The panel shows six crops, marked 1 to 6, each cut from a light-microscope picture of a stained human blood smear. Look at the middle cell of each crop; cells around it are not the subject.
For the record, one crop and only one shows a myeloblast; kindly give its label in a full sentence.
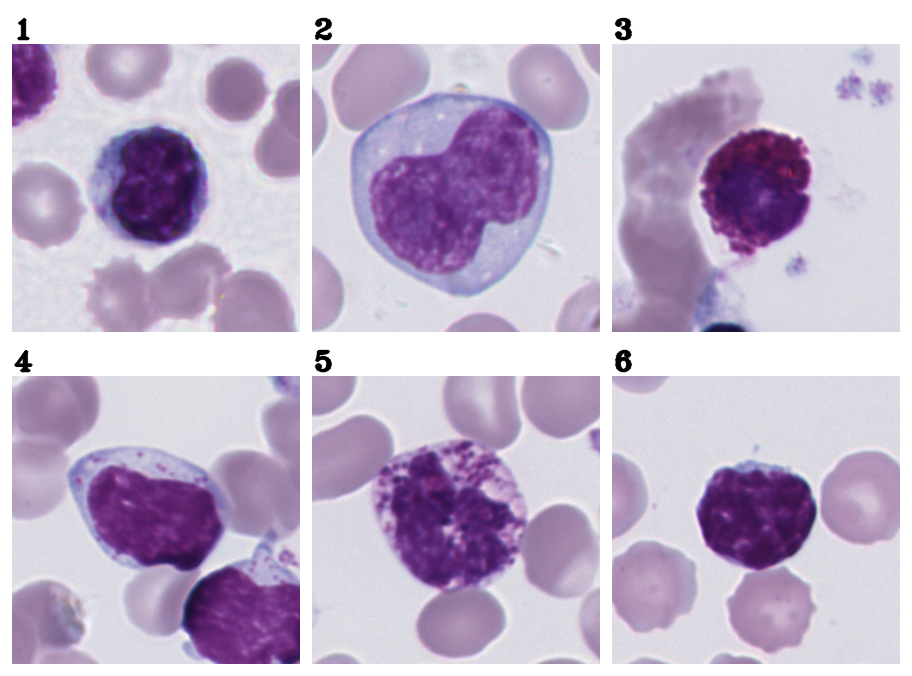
Crop 2 is the single crop that shows a myeloblast.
